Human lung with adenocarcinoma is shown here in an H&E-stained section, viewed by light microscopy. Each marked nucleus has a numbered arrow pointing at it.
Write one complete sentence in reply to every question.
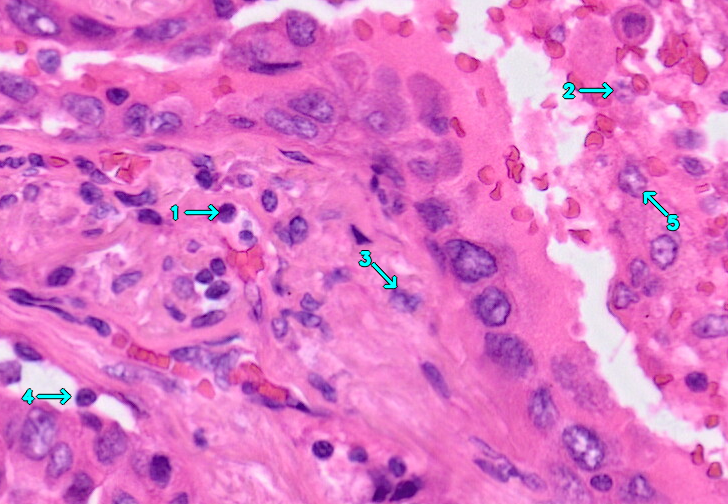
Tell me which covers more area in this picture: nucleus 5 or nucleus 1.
Number 5 is larger; its area is about 2 times that of number 1.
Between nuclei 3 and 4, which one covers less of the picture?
Nucleus 4 covers less area, with nucleus 3 about 1.5 times as large.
